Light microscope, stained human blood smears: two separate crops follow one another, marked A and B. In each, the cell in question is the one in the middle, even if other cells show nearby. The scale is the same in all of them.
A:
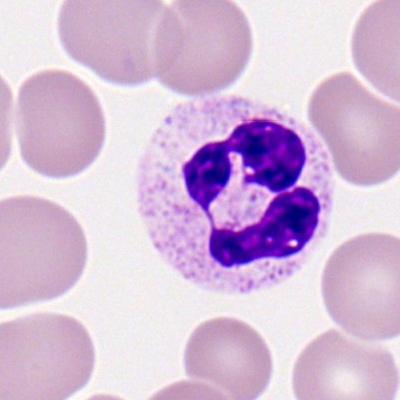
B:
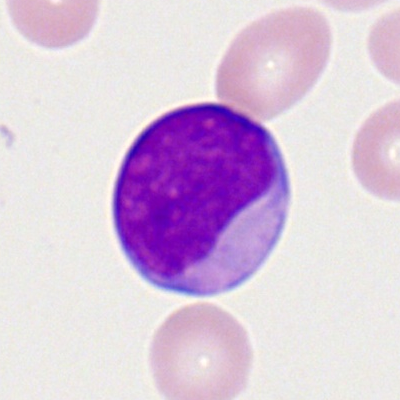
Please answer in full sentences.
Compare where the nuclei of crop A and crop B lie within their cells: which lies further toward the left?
The nucleus in crop B lies further toward the left of its cell.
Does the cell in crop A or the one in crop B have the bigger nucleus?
It is the nucleus in crop B, about 2 times as large in area as the one in crop A.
